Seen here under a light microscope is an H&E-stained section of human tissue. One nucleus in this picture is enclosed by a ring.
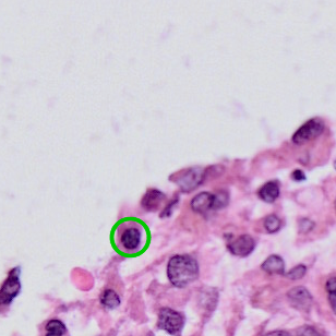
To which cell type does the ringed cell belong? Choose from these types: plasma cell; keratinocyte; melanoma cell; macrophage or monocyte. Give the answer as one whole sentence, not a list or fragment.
Students should answer that the ringed cell is a plasma cell.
